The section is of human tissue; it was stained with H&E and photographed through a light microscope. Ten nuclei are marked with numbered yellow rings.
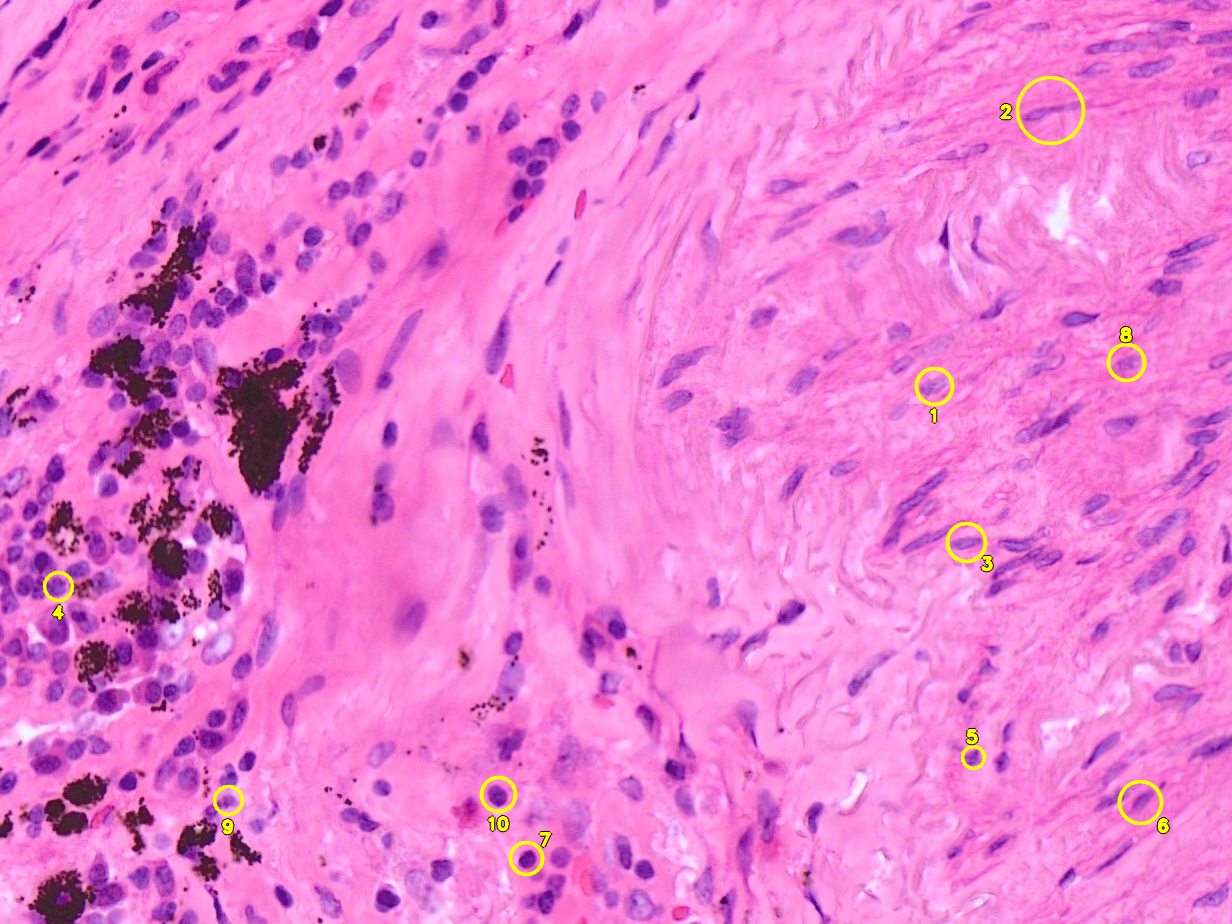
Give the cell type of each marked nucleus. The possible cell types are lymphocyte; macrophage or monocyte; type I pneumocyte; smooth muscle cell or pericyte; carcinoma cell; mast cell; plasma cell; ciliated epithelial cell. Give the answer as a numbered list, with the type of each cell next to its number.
1. smooth muscle cell or pericyte
2. smooth muscle cell or pericyte
3. smooth muscle cell or pericyte
4. lymphocyte
5. smooth muscle cell or pericyte
6. smooth muscle cell or pericyte
7. lymphocyte
8. smooth muscle cell or pericyte
9. lymphocyte
10. lymphocyte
